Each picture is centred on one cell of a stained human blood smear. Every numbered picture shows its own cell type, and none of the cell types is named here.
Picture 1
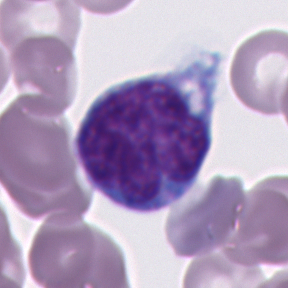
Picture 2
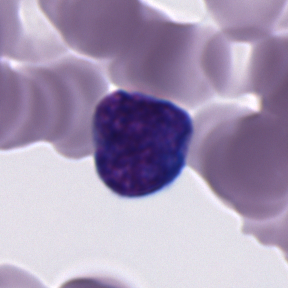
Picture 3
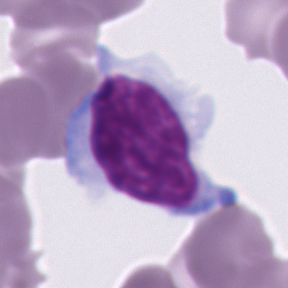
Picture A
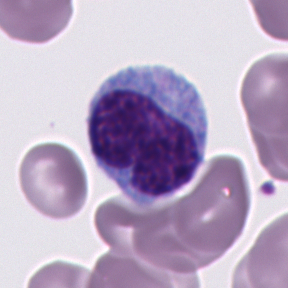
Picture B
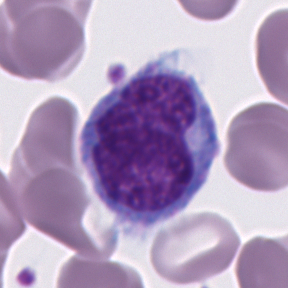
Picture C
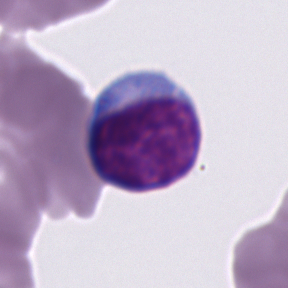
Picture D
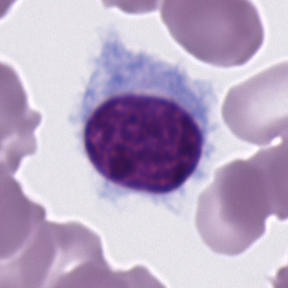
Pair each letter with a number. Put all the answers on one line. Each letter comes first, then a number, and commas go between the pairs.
A 1, B 1, C 2, D 3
